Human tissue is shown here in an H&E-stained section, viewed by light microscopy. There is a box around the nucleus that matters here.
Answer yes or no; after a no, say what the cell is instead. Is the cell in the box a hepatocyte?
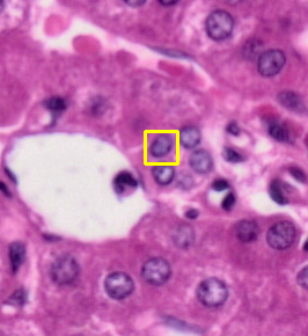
No, it is a cholangiocyte.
